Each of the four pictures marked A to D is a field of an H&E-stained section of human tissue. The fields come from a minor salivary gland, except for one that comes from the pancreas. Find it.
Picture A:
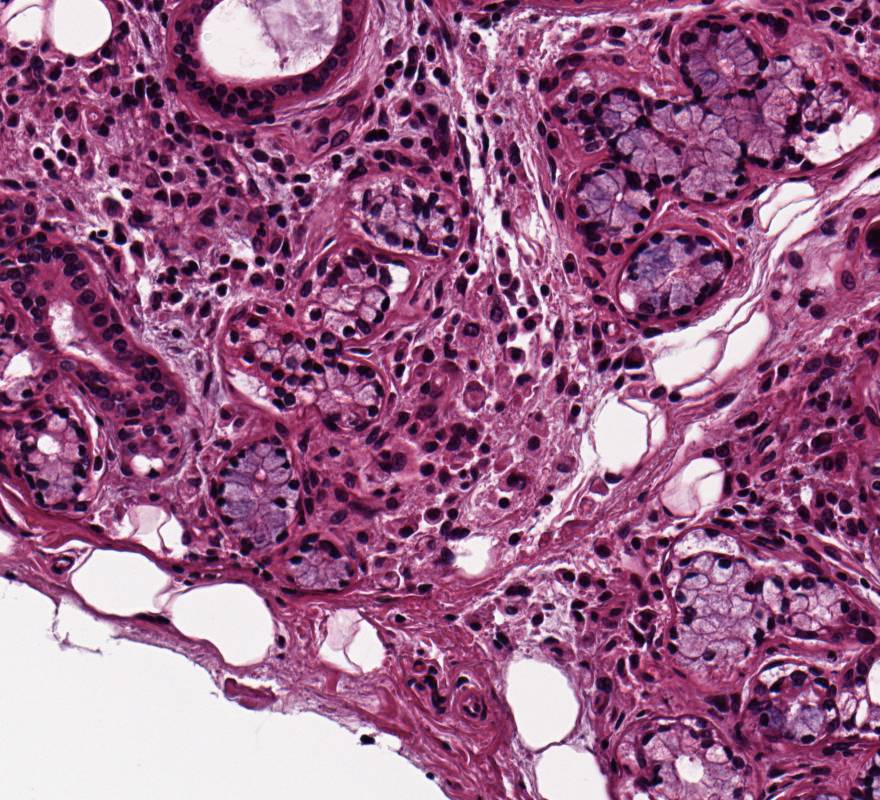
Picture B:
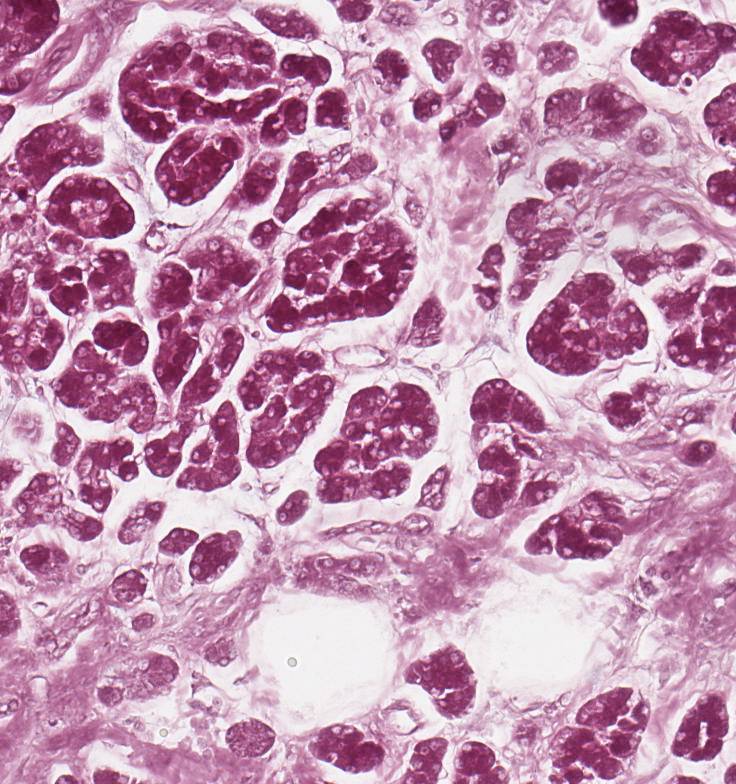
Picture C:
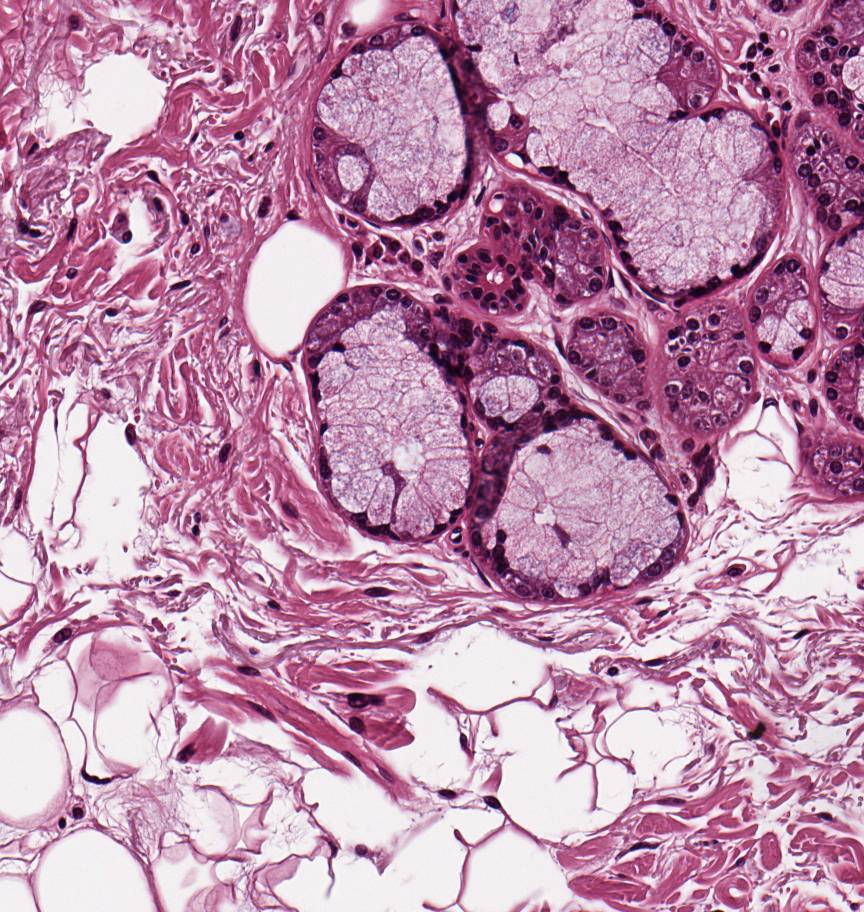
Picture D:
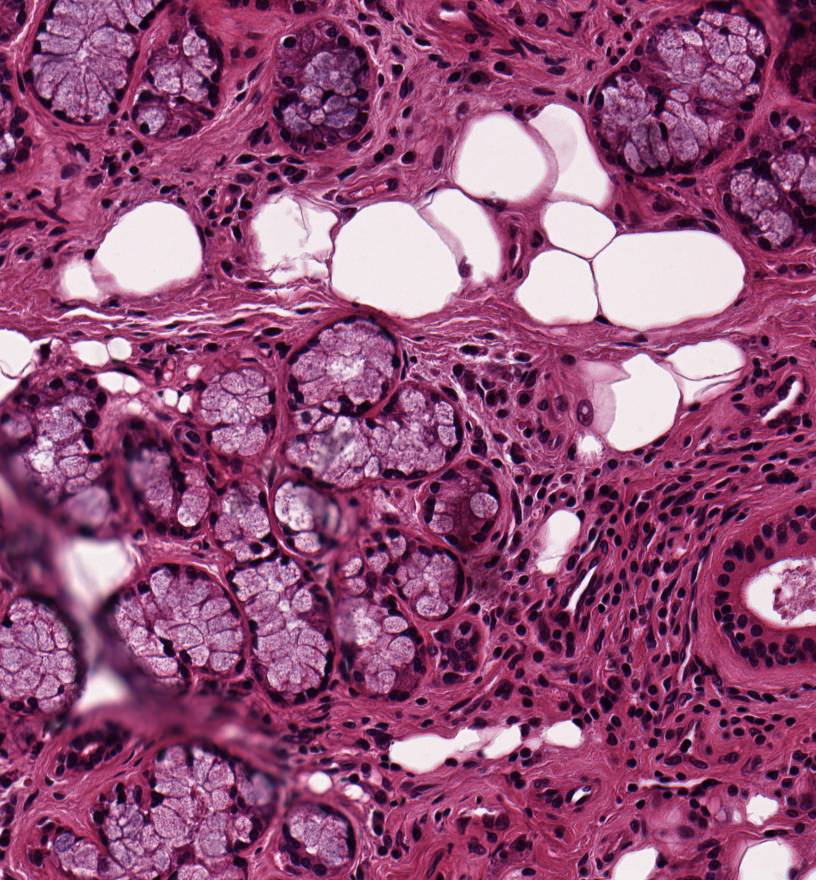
B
